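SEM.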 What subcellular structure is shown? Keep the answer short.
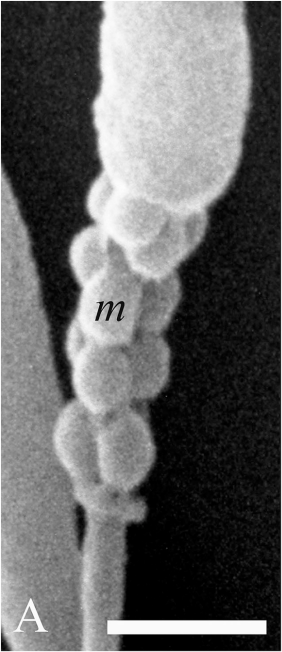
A: Midpiece.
